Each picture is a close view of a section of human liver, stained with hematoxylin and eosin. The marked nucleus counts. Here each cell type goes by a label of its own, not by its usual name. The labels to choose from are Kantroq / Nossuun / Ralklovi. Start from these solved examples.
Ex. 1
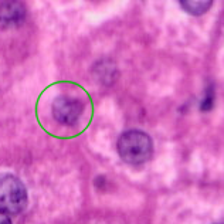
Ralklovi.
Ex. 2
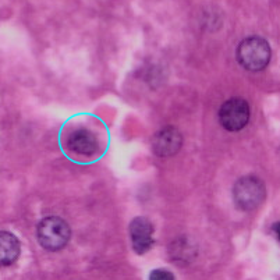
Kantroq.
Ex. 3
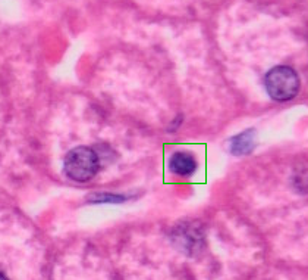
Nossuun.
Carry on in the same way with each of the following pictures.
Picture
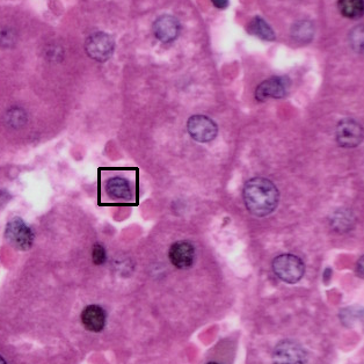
Kantroq.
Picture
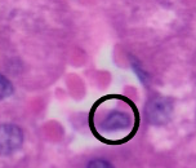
Kantroq.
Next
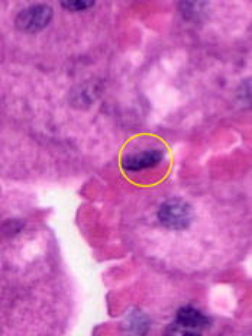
Ralklovi.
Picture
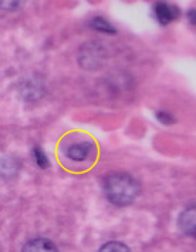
Kantroq.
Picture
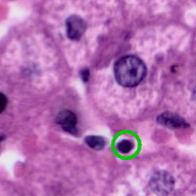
Nossuun.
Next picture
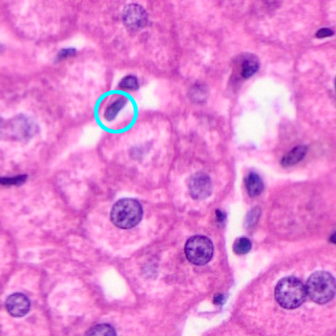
Nossuun.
